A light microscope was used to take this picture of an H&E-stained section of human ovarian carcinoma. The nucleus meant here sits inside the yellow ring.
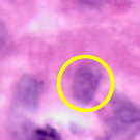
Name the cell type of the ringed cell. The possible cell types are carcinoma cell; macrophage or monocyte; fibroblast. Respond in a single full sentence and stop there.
In this section of tissue, the ringed cell is a fibroblast.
